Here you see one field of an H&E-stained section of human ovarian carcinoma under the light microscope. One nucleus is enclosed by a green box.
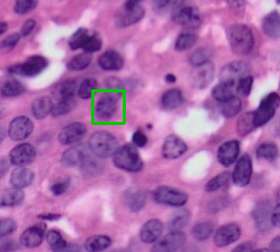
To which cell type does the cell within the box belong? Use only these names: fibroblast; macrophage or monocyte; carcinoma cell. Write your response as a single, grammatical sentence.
Within this tissue, the cell within the box is a carcinoma cell.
